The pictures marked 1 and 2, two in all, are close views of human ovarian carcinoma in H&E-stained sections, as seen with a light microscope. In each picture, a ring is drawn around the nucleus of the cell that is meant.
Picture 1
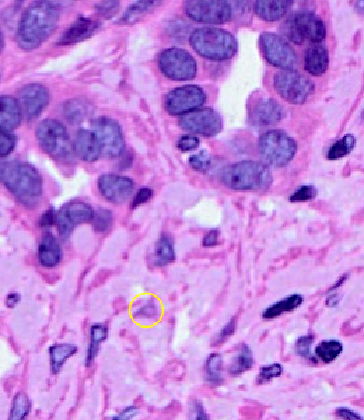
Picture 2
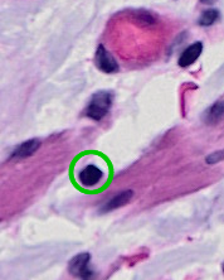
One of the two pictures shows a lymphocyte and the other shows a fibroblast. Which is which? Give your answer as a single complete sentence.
Picture 1 is of a fibroblast, and picture 2 is of a lymphocyte.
